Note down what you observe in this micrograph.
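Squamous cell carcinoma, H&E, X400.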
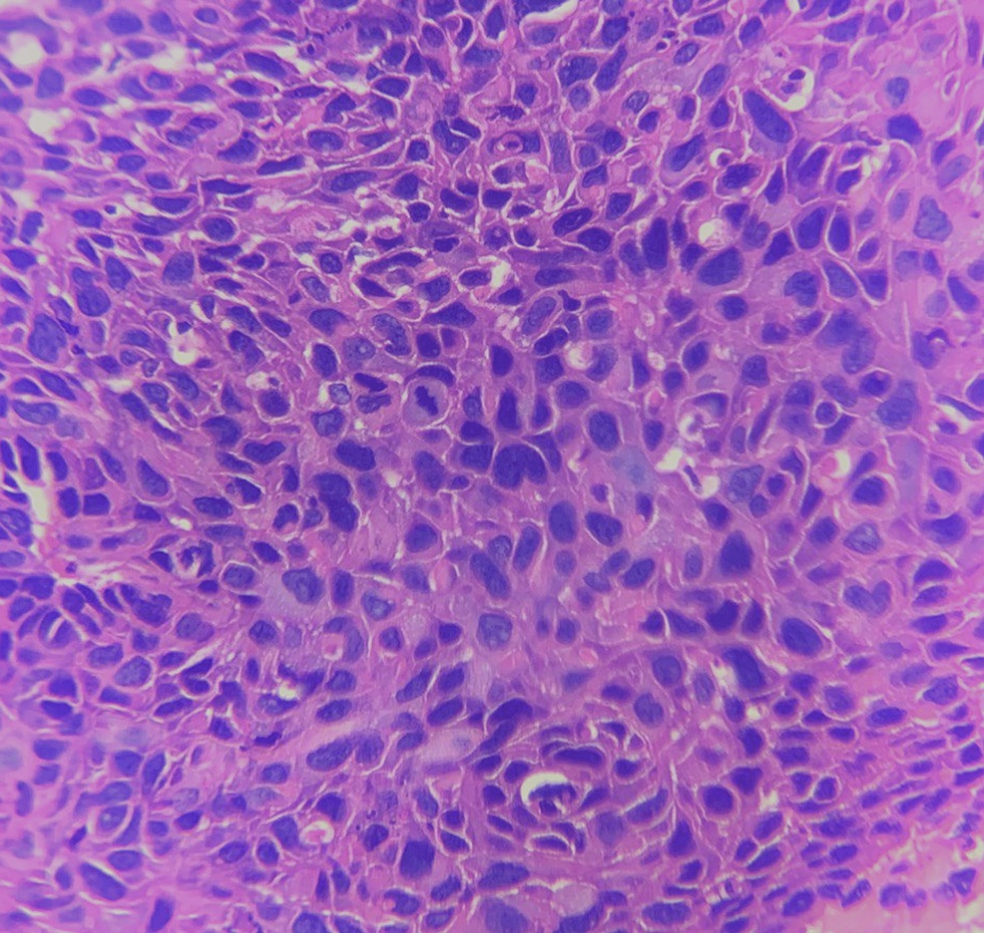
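The nuclei are dark purple and strongly varied, some round, some oval or angular, and some clearly larger than their neighbours. The cells keep a cohesive, polygonal epithelial look but show little orderly layering, in keeping with poor differentiation. Near the middle, a cell with clumped, condensed chromatin looks like a cell in division.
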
